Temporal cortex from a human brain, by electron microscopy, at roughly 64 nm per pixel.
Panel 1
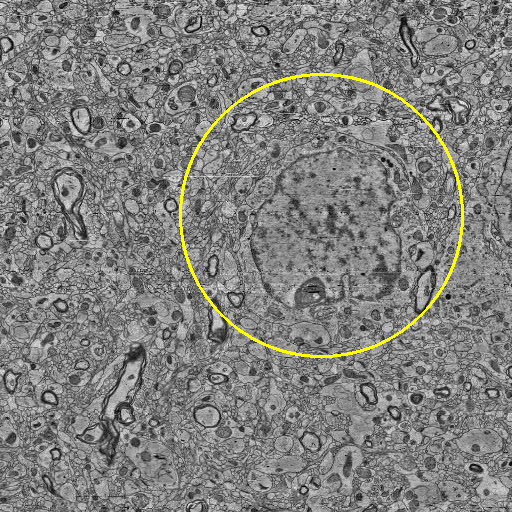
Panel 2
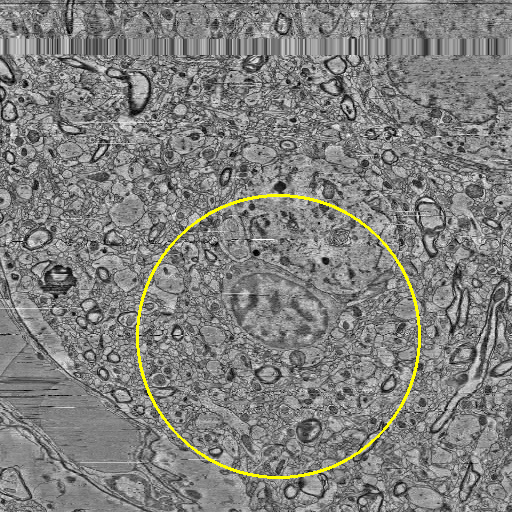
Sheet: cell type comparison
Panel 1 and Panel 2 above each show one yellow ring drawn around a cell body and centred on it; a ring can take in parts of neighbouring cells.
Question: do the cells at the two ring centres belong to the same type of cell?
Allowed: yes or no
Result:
no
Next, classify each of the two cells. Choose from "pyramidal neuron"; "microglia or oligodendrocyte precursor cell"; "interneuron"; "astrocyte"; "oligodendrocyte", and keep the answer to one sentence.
In the first picture it is an interneuron; in the second it is an oligodendrocyte.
